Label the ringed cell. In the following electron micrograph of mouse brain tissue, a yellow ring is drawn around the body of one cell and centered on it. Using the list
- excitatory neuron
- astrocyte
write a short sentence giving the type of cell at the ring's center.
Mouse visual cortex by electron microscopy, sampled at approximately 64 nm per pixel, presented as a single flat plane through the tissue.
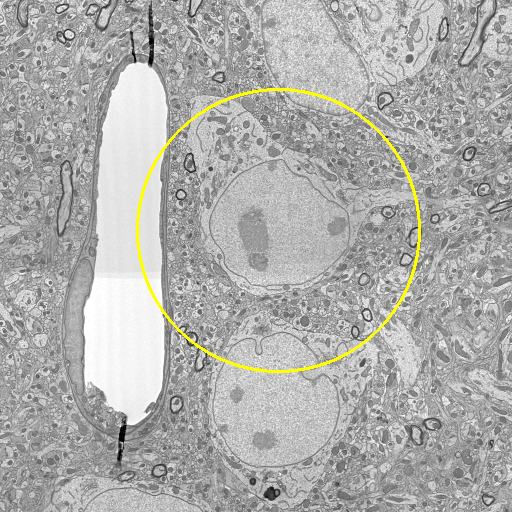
The cell body at the ring's center is that of an excitatory neuron.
